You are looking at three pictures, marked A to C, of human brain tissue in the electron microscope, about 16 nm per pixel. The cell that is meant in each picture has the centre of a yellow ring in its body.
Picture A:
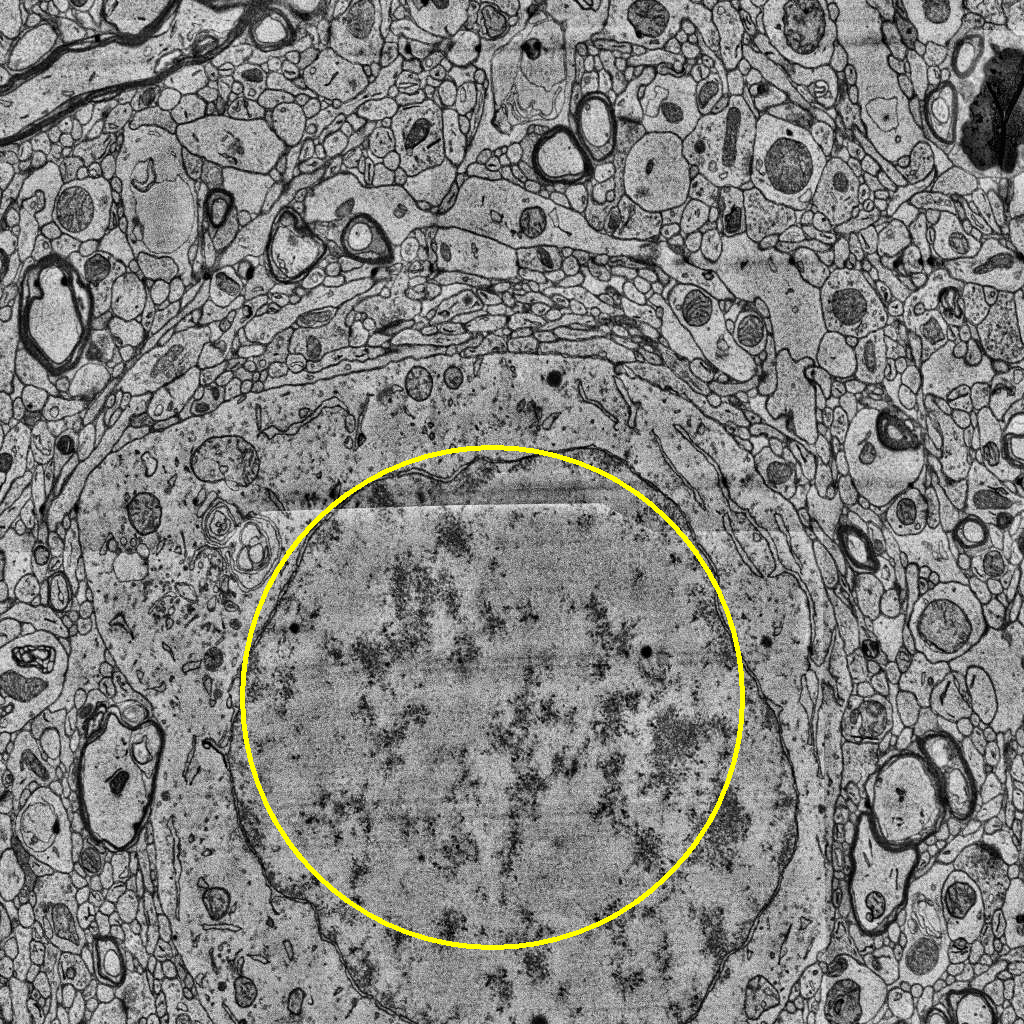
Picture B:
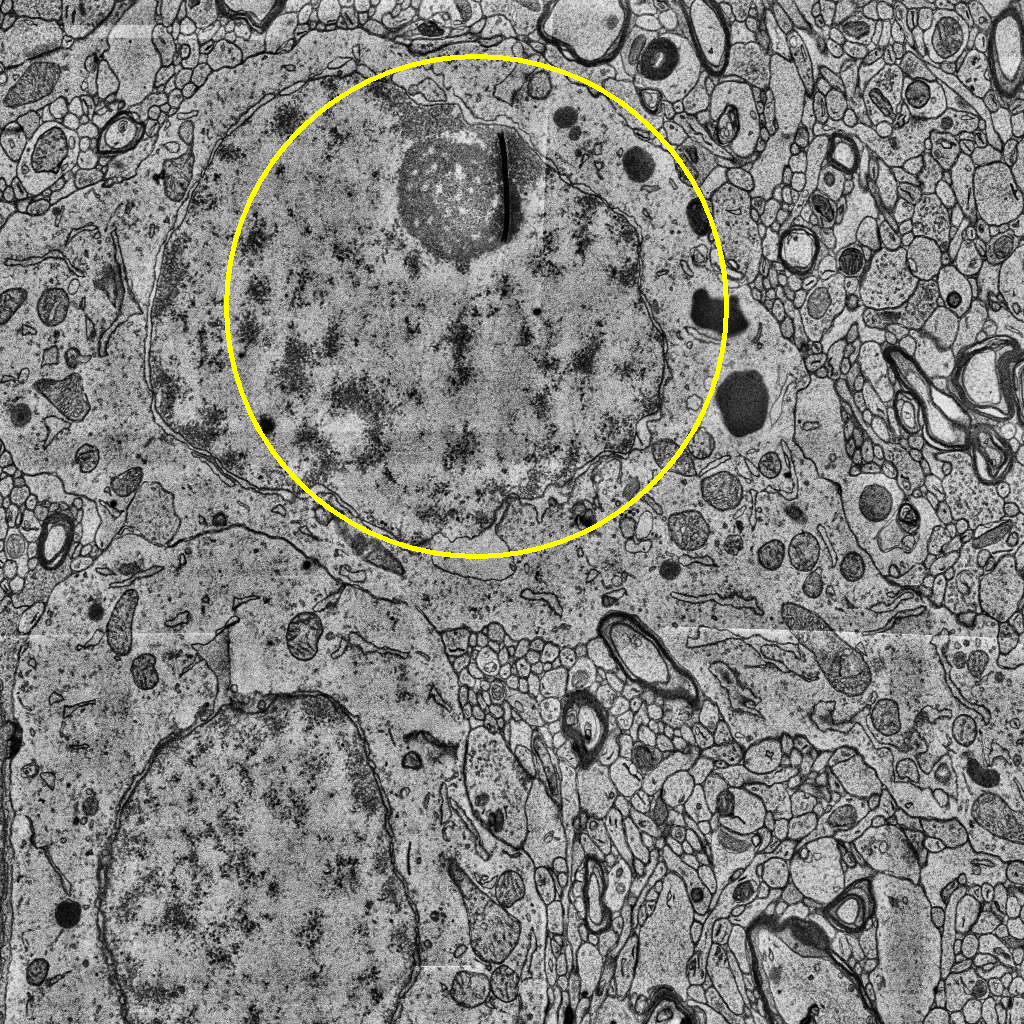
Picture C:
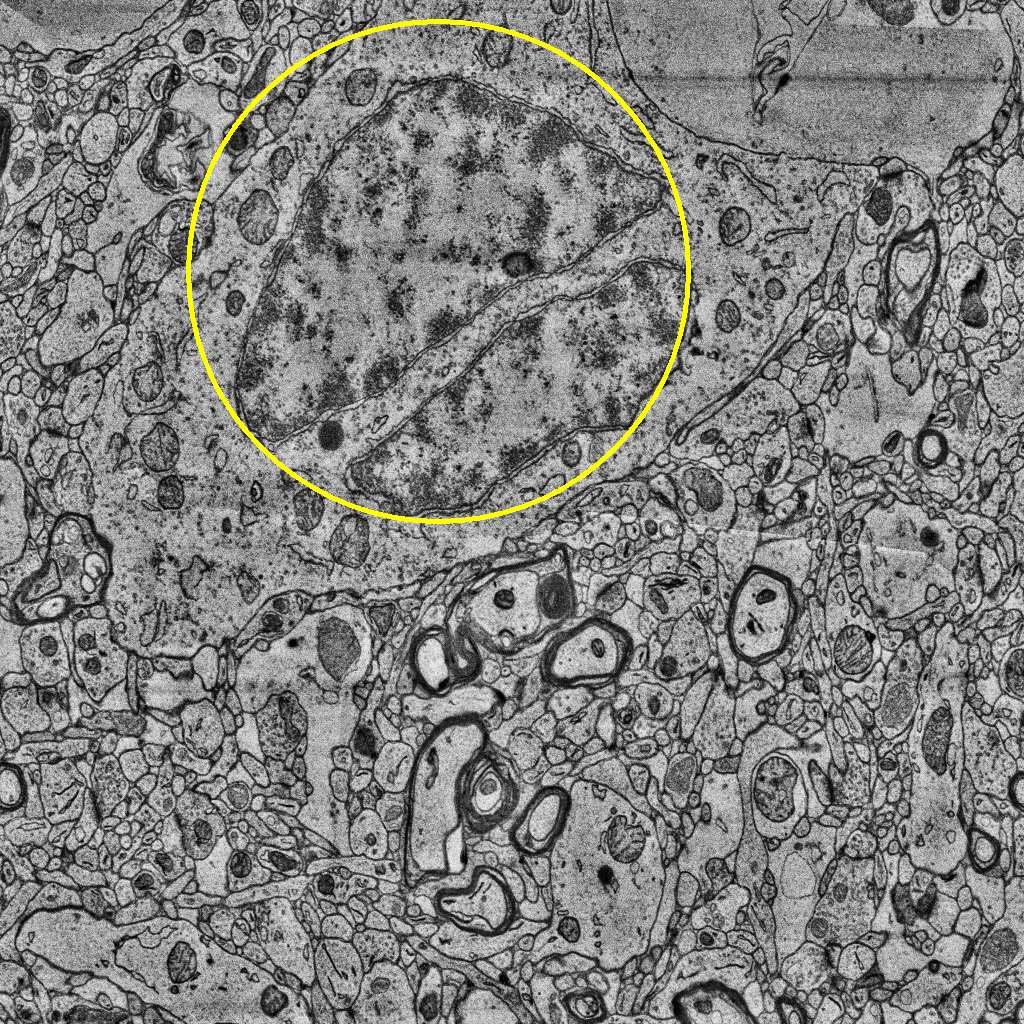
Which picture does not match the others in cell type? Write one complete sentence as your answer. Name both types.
Picture A is the odd one out: it shows a pyramidal neuron, while the others show interneurons.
